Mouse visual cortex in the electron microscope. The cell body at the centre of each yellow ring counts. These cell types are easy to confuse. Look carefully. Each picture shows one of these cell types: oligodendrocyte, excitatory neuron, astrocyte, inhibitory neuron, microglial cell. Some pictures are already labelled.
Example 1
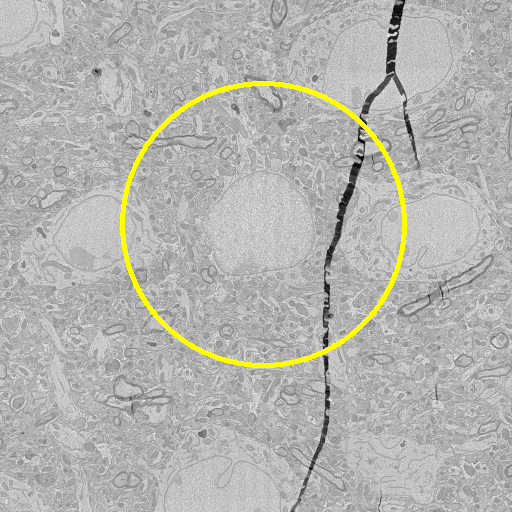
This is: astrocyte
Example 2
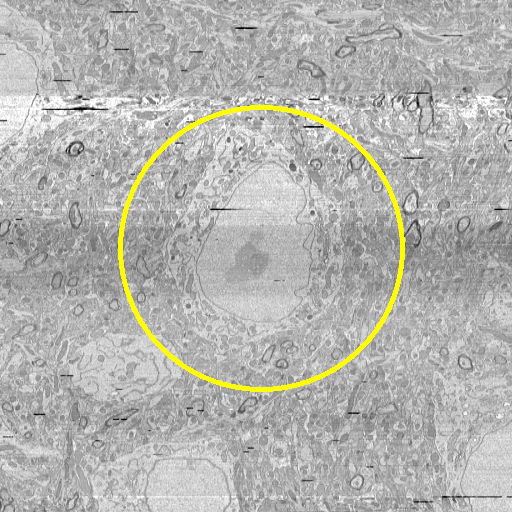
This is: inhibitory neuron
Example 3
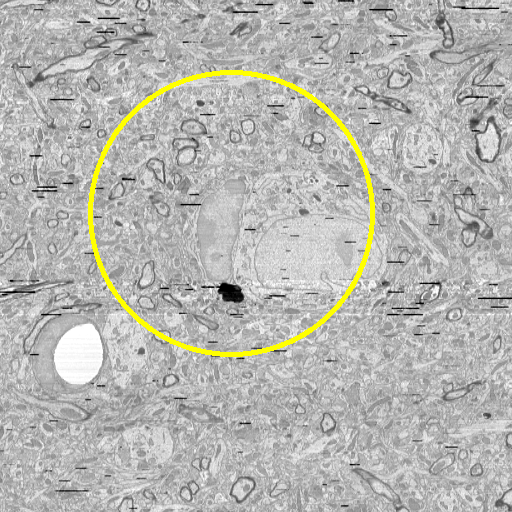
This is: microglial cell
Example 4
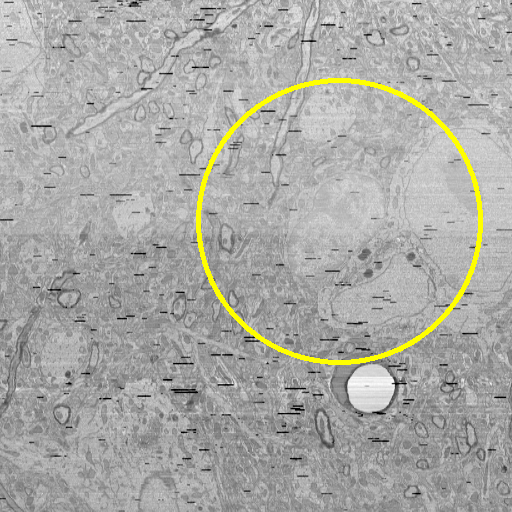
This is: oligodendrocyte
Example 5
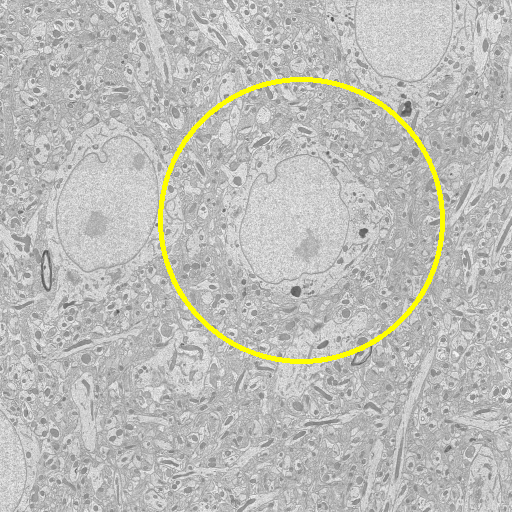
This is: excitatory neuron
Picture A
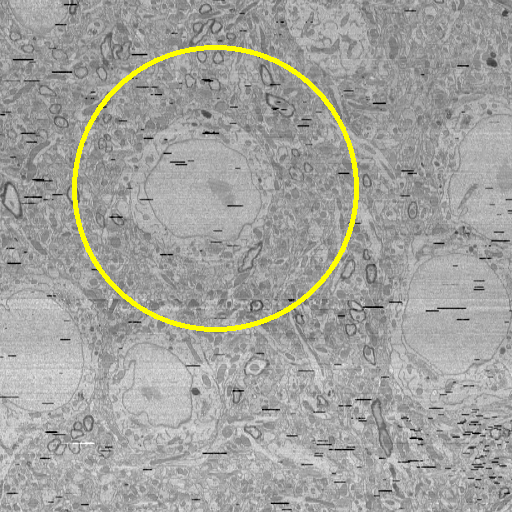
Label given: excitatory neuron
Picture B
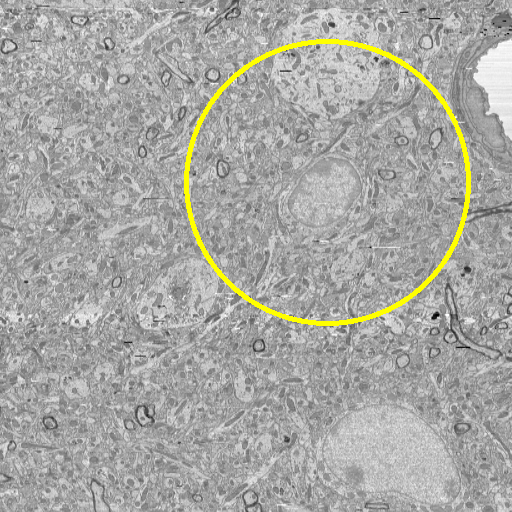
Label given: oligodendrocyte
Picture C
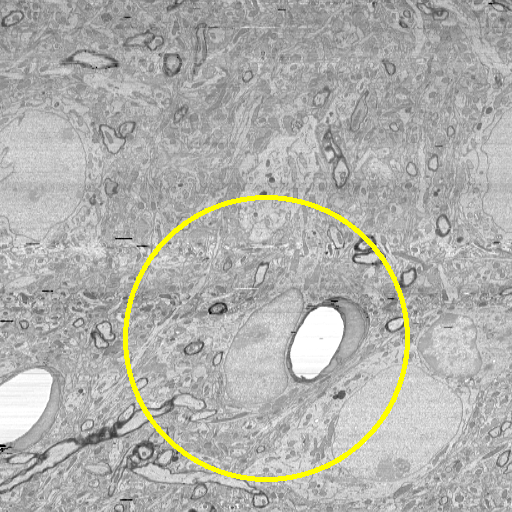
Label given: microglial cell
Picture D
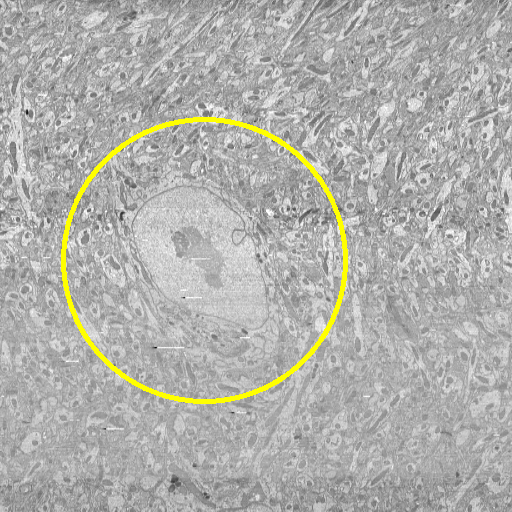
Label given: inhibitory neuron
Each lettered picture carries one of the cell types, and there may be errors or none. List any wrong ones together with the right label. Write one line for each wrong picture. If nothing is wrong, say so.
C is labelled microglial cell; correct label: astrocyte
